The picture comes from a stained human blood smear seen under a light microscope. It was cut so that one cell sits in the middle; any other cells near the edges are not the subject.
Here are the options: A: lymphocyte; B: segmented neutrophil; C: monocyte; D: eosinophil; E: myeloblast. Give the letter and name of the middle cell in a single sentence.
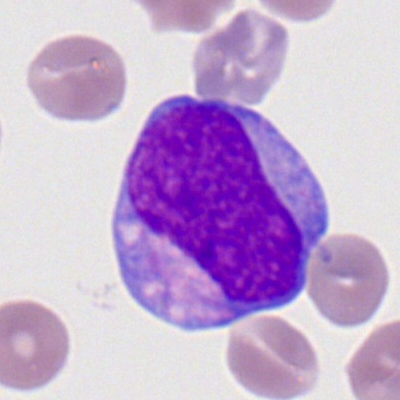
That cell in the center is a myeloblast, hence option E.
